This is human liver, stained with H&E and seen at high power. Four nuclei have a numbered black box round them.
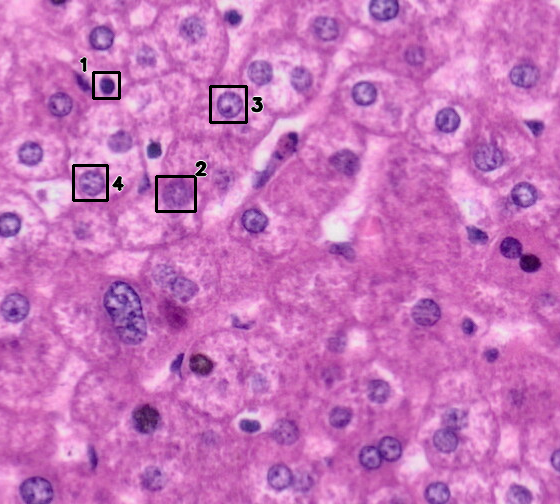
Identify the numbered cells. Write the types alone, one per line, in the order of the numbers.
lymphocyte
hepatocyte
hepatocyte
hepatocyte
